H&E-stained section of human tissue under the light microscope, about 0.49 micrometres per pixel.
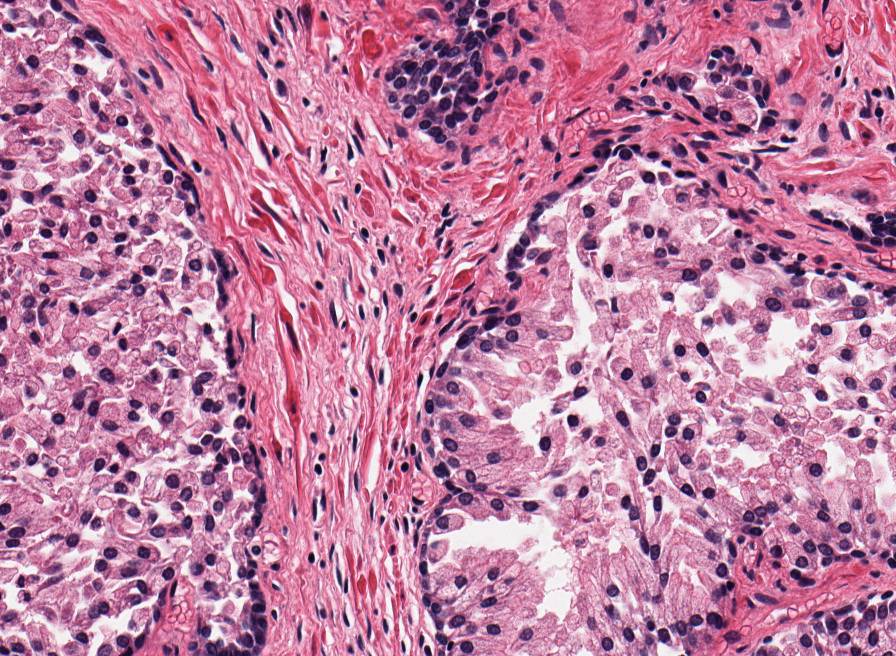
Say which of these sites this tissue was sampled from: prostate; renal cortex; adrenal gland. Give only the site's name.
prostate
